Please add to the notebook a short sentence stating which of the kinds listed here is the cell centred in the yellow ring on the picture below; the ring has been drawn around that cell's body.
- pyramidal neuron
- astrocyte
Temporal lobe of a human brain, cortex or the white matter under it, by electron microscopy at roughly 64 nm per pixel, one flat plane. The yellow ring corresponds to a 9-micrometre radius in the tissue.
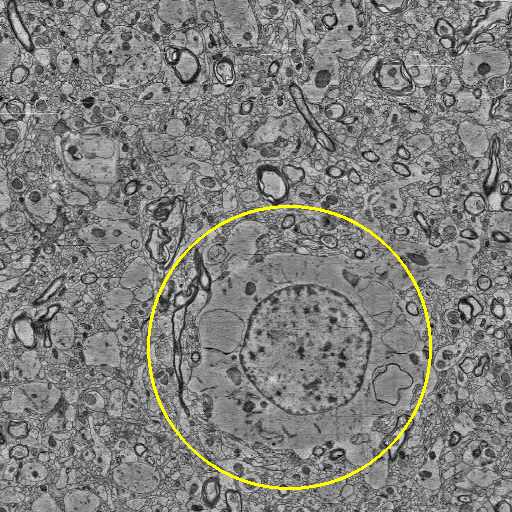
The cell centred in the yellow ring is an astrocyte.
